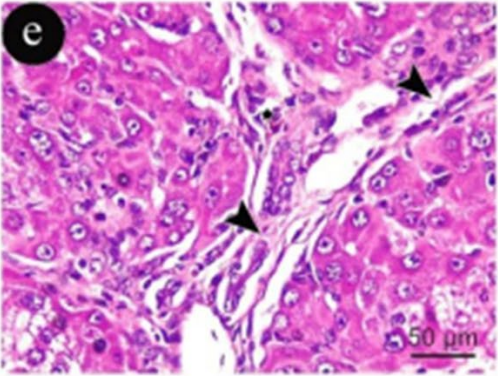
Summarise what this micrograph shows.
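This is liver tissue crossed by a band of fibrosis with cellular infiltration. The band consists of pale elongated fibres with many small dark elongated and round nuclei, running between cords of hepatocytes that have pink cytoplasm and round nuclei, some of them paler and vacuolated.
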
